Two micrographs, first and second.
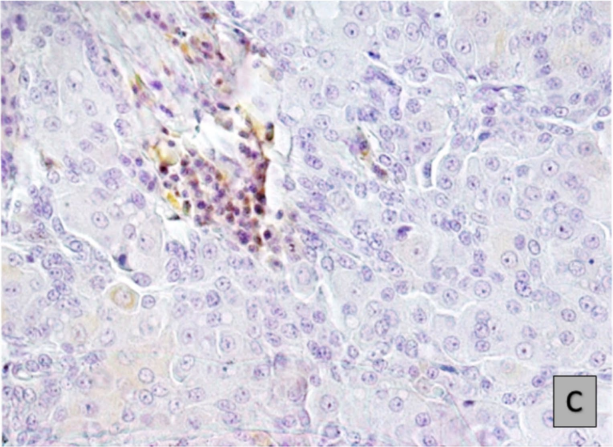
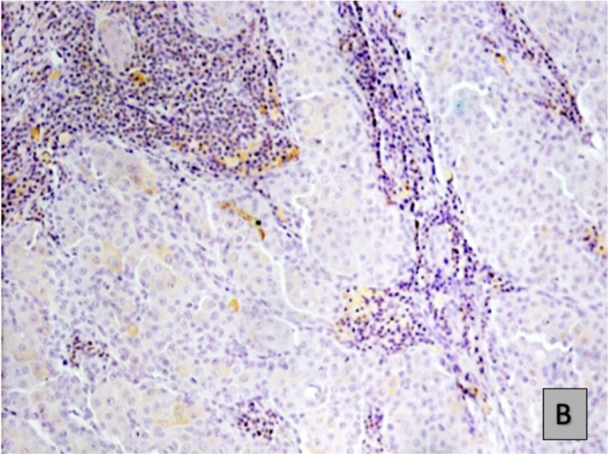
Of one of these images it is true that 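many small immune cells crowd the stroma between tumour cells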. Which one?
The second image.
